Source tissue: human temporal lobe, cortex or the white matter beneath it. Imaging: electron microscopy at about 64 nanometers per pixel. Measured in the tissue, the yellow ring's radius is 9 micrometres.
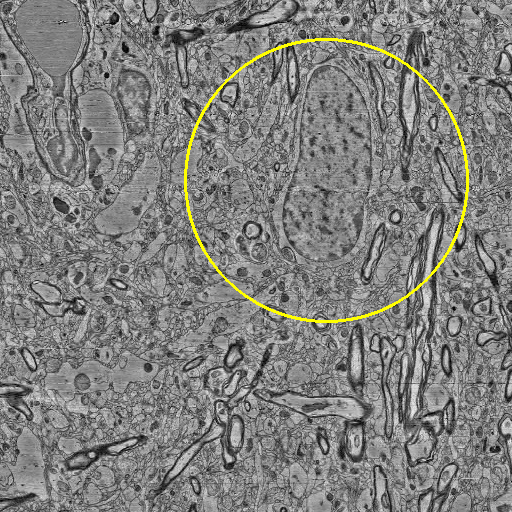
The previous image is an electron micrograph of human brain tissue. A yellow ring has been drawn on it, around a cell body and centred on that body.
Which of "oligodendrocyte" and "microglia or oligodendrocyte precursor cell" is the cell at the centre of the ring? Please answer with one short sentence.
The cell body at the centre of the ring belongs to a microglial cell or oligodendrocyte precursor cell.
